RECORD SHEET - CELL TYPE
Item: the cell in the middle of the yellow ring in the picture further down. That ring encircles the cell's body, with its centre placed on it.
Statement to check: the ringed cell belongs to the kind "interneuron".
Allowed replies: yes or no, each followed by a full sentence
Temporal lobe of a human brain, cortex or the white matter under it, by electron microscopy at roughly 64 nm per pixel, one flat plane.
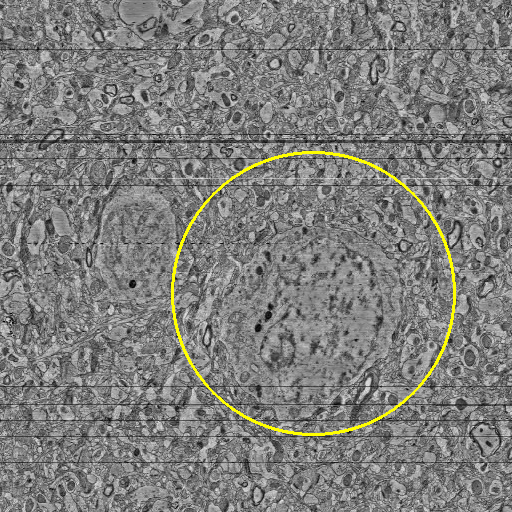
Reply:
Yes, the cell held at the centre of the ring in the picture is of that kind.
